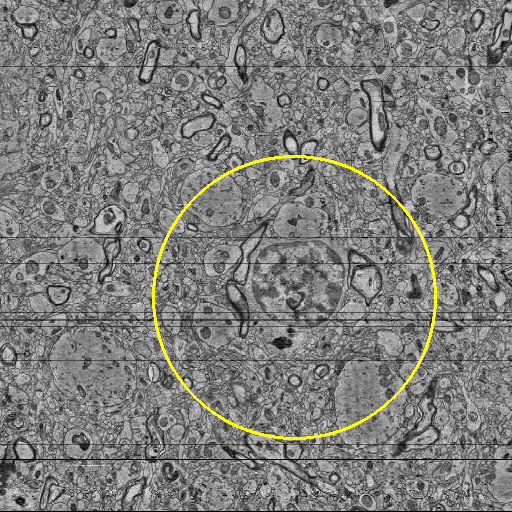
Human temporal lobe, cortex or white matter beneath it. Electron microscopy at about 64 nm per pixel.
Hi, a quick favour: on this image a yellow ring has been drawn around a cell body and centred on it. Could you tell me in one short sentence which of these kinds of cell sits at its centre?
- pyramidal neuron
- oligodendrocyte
The ring is centred on an oligodendrocyte.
